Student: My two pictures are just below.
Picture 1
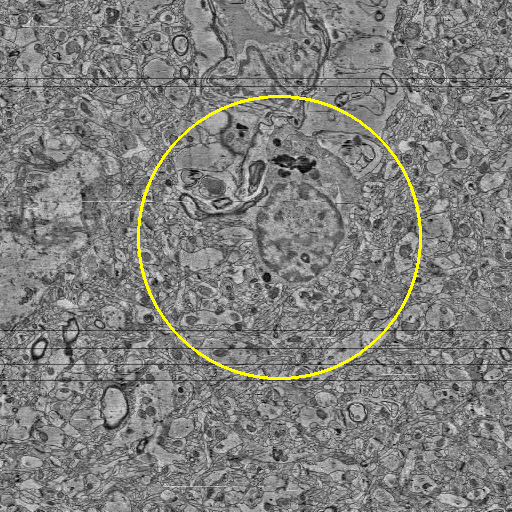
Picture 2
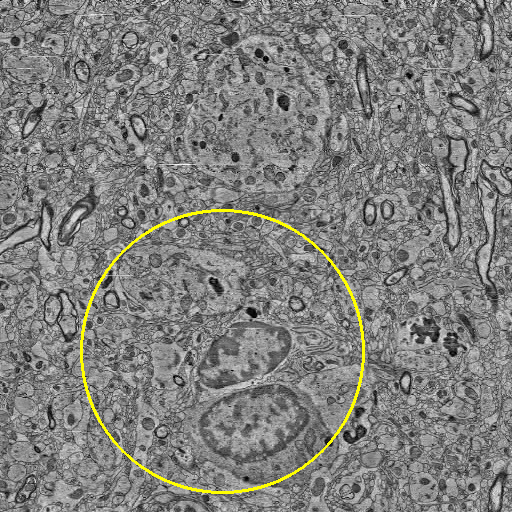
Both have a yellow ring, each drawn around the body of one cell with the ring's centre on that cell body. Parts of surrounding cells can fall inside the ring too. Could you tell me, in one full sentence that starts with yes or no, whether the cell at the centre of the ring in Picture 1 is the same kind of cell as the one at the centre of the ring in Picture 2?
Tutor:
No, the two cells are of two kinds.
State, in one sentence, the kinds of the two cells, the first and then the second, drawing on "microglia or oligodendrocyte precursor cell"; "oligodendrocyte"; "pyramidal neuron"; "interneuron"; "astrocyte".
The ring in the second picture is centred on a microglial cell or oligodendrocyte precursor cell, the ring in the first on an oligodendrocyte.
